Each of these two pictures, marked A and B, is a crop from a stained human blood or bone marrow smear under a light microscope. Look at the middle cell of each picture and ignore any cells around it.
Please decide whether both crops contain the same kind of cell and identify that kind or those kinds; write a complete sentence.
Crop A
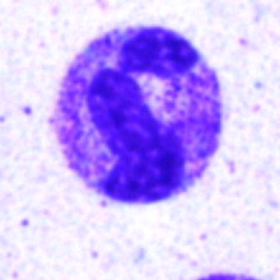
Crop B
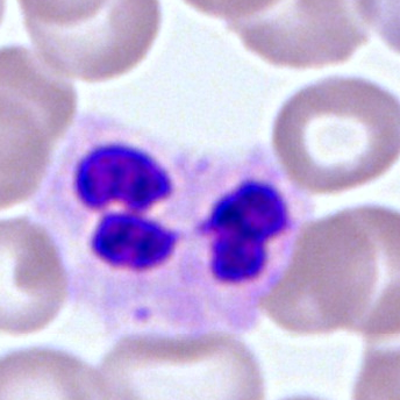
Yes, in the two crops, segmented neutrophils are the cells at the centre.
